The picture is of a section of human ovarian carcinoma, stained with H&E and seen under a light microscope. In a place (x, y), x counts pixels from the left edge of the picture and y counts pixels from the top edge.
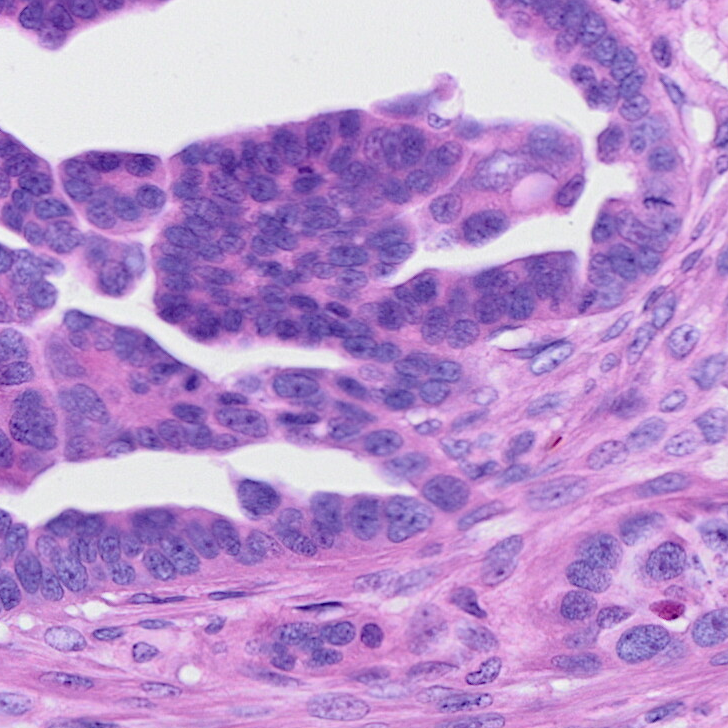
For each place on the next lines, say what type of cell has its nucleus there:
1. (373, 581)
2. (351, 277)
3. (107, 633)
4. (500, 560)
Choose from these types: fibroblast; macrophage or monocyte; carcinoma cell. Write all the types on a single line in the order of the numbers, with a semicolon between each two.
fibroblast; carcinoma cell; fibroblast; fibroblast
